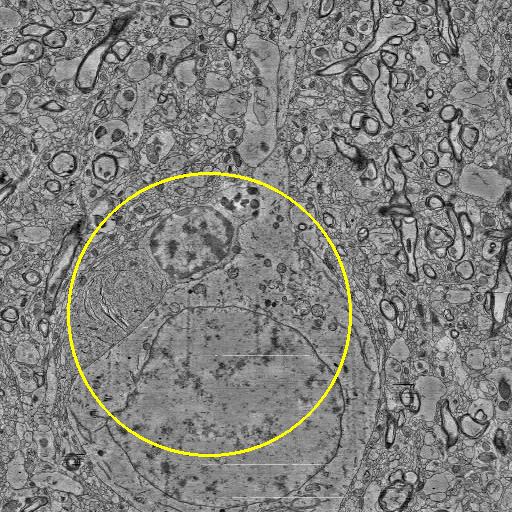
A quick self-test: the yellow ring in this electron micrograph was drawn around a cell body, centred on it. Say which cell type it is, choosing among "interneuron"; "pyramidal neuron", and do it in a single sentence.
The yellow-ringed cell is a pyramidal neuron.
